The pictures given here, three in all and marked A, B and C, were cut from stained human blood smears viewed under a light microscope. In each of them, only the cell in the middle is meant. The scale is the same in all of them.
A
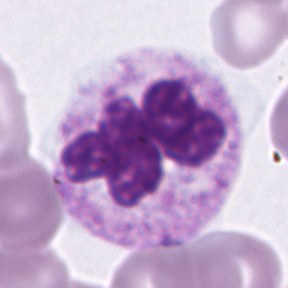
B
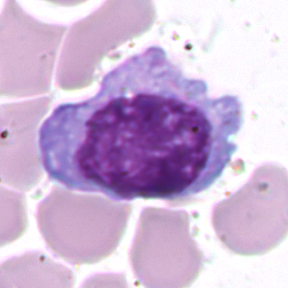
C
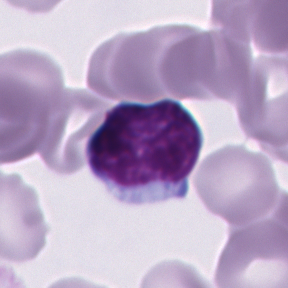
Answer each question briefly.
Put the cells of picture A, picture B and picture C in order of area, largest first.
A, B, C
